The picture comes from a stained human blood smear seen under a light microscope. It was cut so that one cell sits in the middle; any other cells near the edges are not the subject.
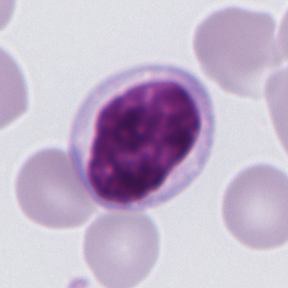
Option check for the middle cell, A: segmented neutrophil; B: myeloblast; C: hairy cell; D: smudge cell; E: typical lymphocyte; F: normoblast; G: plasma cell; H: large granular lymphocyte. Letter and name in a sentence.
Option H gives the correct identity of the central cell, namely a large granular lymphocyte.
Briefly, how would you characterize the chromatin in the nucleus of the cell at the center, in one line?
In this nucleus, the chromatin is arranged in coarse clumps.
